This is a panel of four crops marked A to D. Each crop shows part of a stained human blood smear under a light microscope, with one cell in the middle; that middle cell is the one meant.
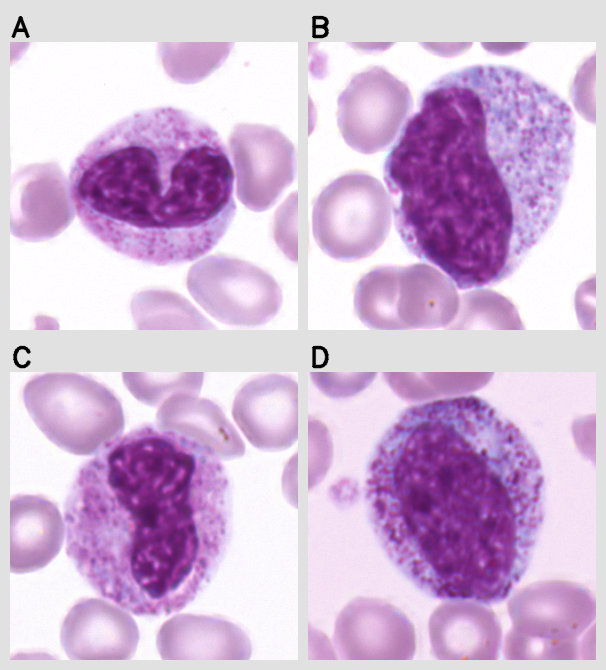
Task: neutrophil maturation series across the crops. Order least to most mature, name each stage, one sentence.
Sequenced by maturity, least first, the crops are crop D (a promyelocyte), crop B (a myelocyte), crop C (a metamyelocyte) and crop A (a band neutrophil).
